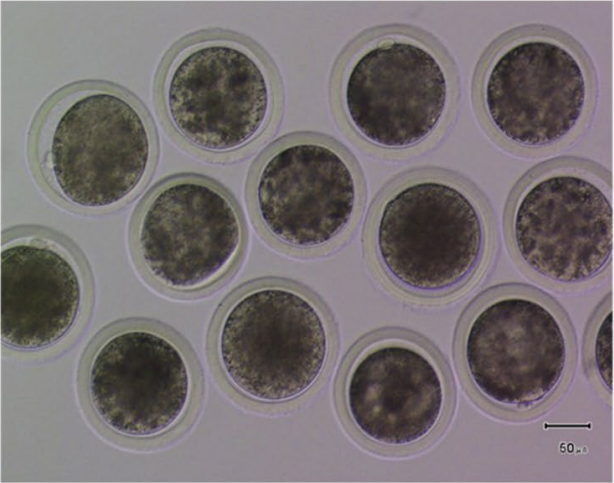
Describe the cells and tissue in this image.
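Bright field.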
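The cytoplasm of each oocyte is densely granular and dark, with uneven mottled patches. Every oocyte is enclosed by a thick, clear, evenly wide shell that stands apart from the cell surface. A narrow clear space separates the cytoplasm from this shell in several of the cells. No smaller surrounding cells cling to the shells.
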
